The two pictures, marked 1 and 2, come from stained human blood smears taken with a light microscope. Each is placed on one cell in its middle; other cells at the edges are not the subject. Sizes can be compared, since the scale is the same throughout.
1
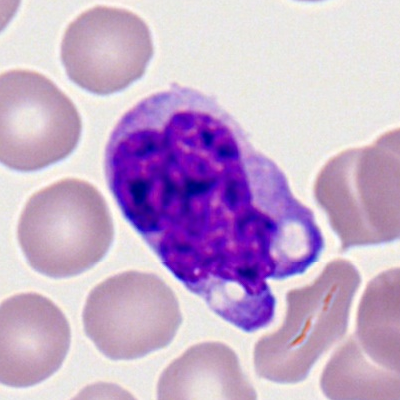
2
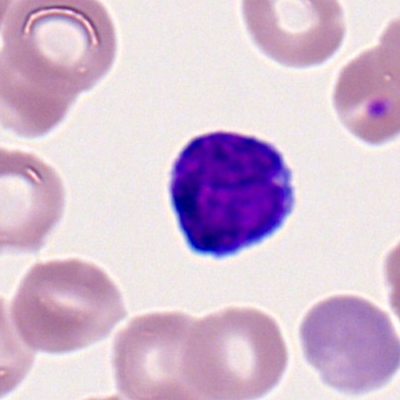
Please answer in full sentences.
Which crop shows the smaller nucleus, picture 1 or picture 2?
It is the nucleus in picture 2; the one in picture 1 has about 2 times its area.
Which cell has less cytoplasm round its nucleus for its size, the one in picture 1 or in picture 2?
The nucleus fills more of the cell in picture 2 than in picture 1.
